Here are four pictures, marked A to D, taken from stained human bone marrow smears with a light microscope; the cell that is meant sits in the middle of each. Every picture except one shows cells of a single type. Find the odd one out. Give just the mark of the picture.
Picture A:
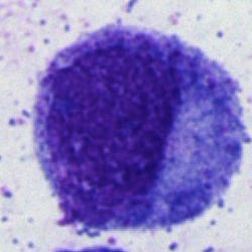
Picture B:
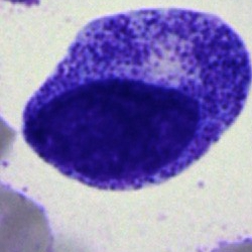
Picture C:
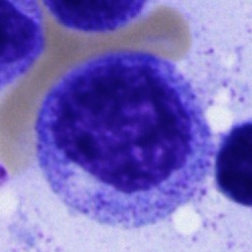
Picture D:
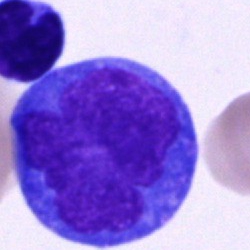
D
